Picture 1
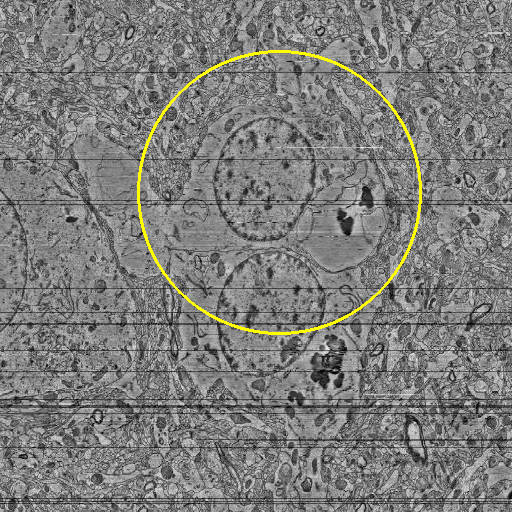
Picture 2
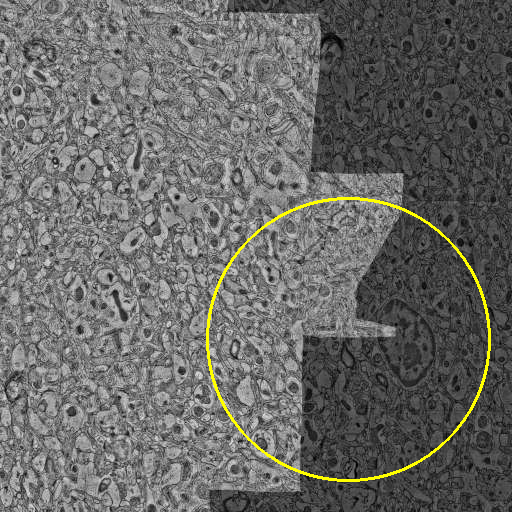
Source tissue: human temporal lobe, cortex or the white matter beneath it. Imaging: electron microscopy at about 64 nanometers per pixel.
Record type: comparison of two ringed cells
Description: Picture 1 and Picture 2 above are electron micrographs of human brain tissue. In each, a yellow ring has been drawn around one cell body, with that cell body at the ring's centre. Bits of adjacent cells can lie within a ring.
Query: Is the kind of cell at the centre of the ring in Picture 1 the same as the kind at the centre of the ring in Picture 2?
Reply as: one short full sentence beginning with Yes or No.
No, the two ringed cells are of two separate kinds.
